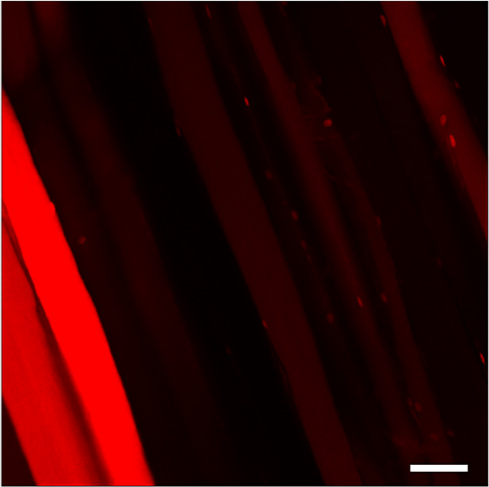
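Skeletal muscle fibers appear as long, broad, parallel bands running diagonally across the field. One fiber at the lower left is filled with bright, even red, while others are only dimly red. Small red dots are scattered between and along the fibers.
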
